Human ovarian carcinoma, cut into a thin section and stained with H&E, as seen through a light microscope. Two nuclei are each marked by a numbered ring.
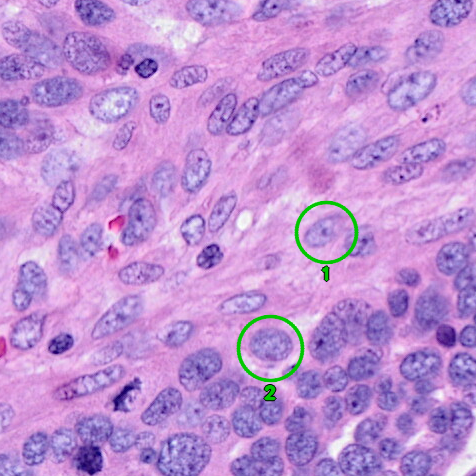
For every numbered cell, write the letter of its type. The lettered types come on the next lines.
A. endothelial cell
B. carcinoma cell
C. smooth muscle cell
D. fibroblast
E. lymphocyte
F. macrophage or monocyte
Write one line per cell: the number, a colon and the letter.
1: D
2: B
